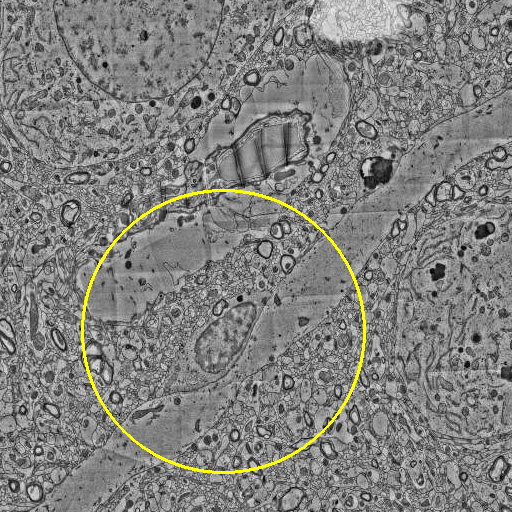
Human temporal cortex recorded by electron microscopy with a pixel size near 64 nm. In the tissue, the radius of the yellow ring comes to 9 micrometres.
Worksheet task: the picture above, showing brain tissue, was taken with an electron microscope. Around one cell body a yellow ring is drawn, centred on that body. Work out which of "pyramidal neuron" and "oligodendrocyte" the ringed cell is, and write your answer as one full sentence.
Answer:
It is an oligodendrocyte whose cell body lies at the centre of the yellow ring.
